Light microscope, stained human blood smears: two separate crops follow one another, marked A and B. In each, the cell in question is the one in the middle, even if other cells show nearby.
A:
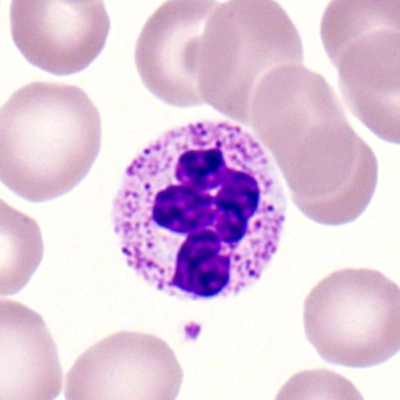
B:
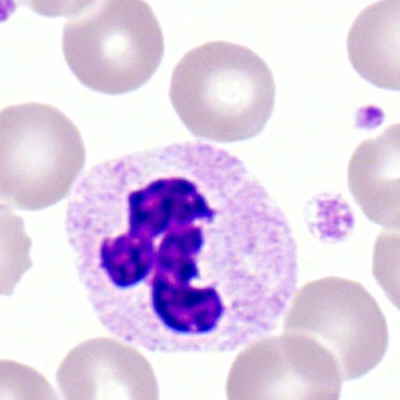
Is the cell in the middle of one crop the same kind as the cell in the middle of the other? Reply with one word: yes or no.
yes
